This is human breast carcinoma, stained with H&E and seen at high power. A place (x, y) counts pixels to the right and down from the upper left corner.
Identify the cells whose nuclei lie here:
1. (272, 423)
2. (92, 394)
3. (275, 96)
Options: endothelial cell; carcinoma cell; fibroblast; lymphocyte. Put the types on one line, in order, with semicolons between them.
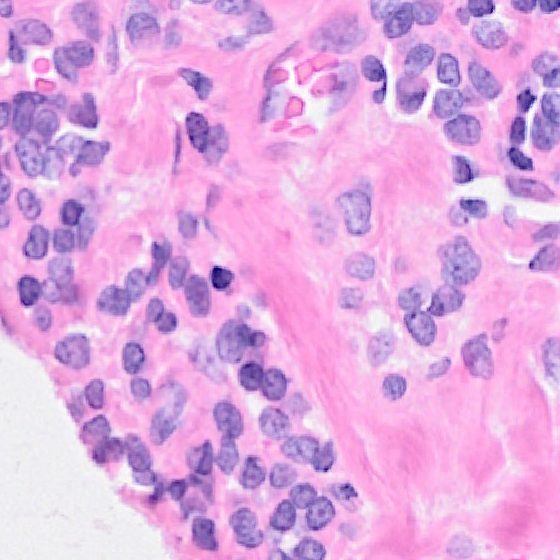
carcinoma cell; carcinoma cell; endothelial cell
